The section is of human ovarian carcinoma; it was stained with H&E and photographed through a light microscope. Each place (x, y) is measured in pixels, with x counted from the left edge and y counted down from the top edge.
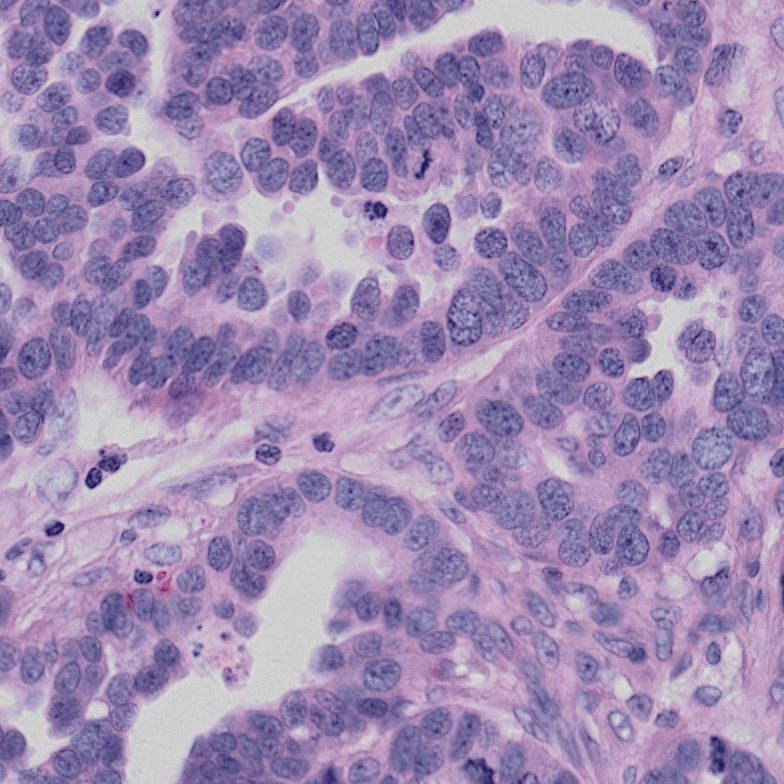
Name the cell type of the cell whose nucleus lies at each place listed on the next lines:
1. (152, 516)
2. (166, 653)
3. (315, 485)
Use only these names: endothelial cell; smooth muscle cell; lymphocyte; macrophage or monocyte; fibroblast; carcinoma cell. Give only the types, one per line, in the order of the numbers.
fibroblast
carcinoma cell
carcinoma cell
